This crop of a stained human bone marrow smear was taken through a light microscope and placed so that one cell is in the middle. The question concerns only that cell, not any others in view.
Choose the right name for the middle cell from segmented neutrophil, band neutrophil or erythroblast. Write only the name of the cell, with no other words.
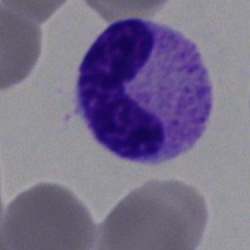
band neutrophil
